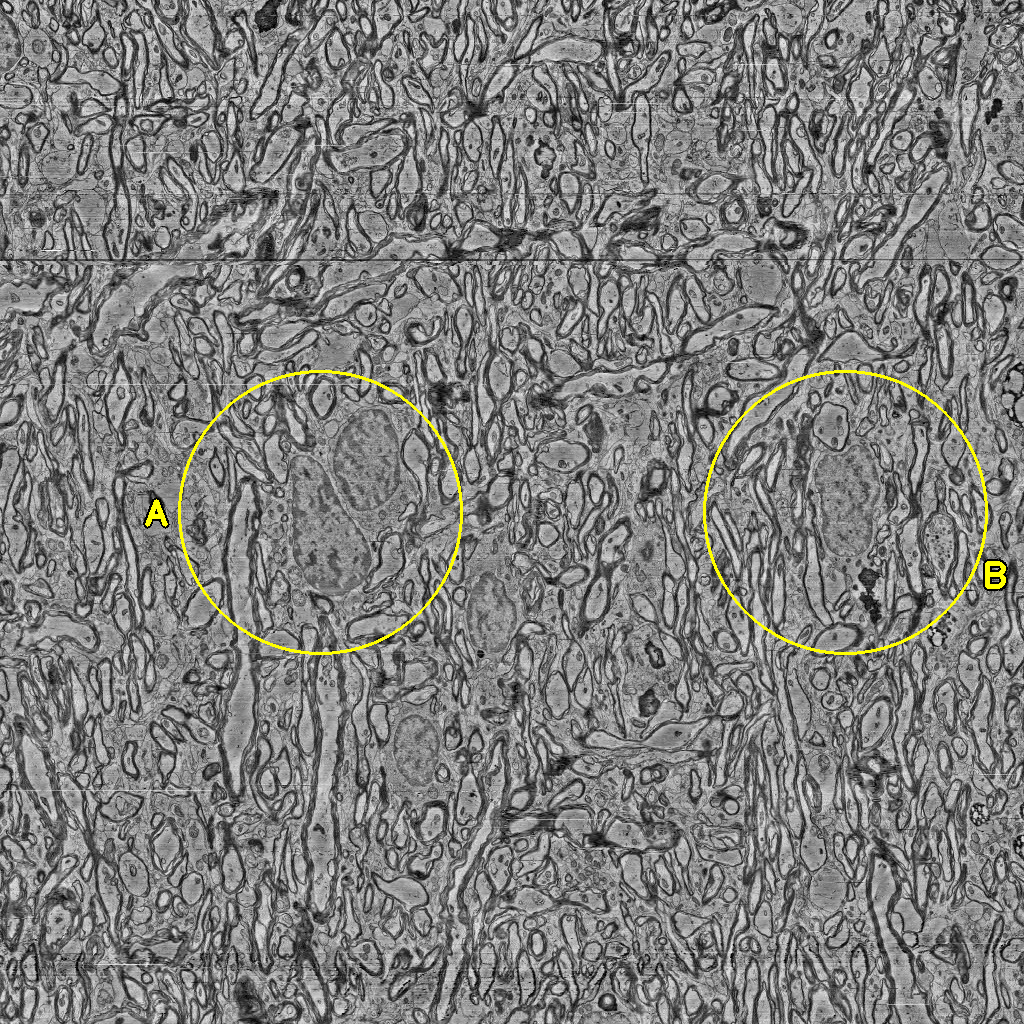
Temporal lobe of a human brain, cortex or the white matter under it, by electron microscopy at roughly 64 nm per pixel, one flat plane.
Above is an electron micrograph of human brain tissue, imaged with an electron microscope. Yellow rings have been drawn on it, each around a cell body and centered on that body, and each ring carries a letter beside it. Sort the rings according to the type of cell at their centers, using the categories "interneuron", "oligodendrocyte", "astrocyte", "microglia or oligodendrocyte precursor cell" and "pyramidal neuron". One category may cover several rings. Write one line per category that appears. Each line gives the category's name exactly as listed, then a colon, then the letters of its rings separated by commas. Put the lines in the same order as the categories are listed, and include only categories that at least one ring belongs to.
oligodendrocyte: B
microglia or oligodendrocyte precursor cell: A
